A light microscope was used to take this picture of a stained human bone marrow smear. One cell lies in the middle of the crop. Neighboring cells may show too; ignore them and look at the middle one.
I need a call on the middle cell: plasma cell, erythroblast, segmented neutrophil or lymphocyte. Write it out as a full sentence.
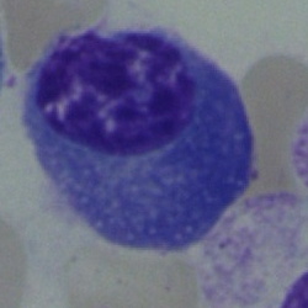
The cell at the middle of the crop is recognized as a plasma cell.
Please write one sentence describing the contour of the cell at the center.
Edge check done: smooth outline, no projections present.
